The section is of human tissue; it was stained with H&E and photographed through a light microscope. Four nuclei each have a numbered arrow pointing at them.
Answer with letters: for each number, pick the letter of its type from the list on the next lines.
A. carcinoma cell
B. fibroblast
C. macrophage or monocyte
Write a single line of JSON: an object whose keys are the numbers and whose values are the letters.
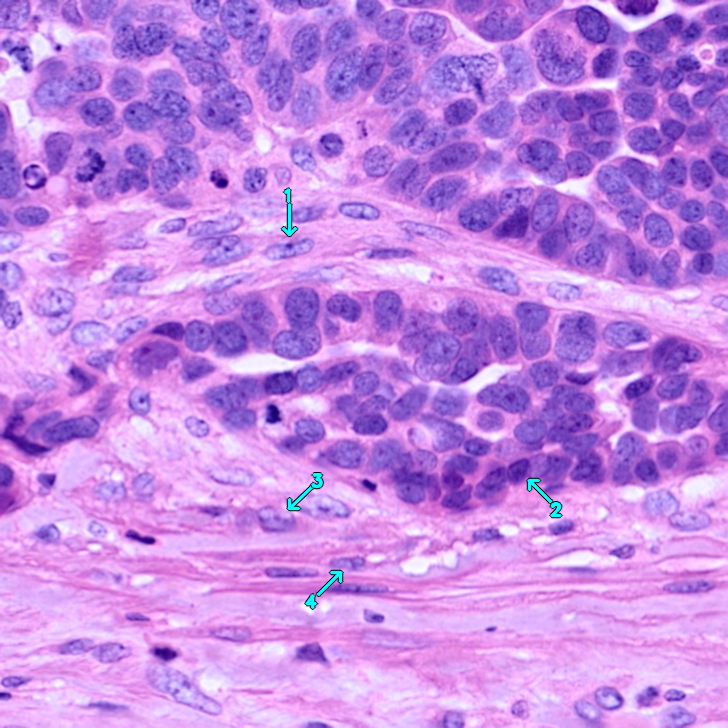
{"1": "B", "2": "A", "3": "B", "4": "B"}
